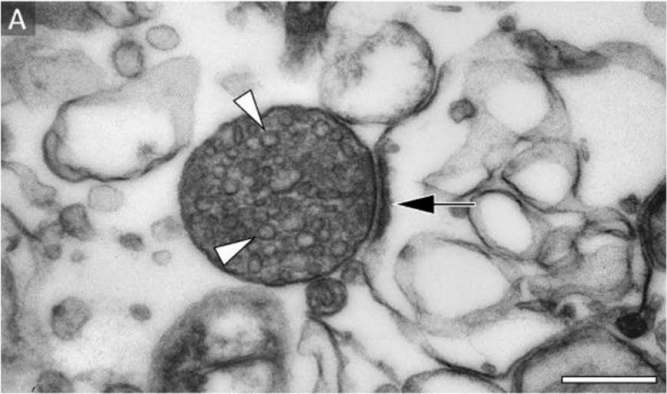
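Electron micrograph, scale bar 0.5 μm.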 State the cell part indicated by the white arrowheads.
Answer: Synaptic vesicle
